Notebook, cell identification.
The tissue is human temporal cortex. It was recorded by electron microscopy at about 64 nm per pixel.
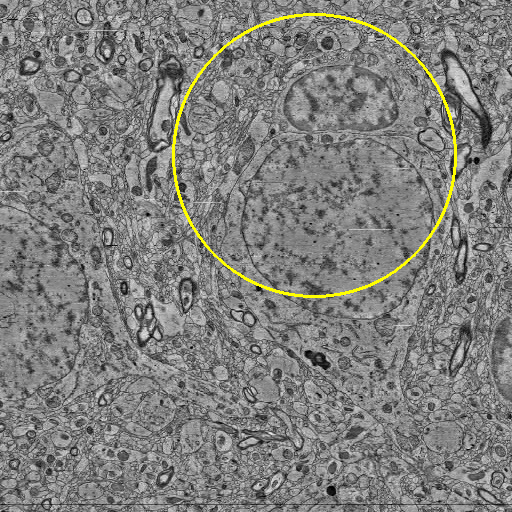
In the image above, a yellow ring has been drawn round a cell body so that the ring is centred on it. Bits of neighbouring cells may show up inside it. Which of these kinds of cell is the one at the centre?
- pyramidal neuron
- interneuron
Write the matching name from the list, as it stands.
pyramidal neuron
